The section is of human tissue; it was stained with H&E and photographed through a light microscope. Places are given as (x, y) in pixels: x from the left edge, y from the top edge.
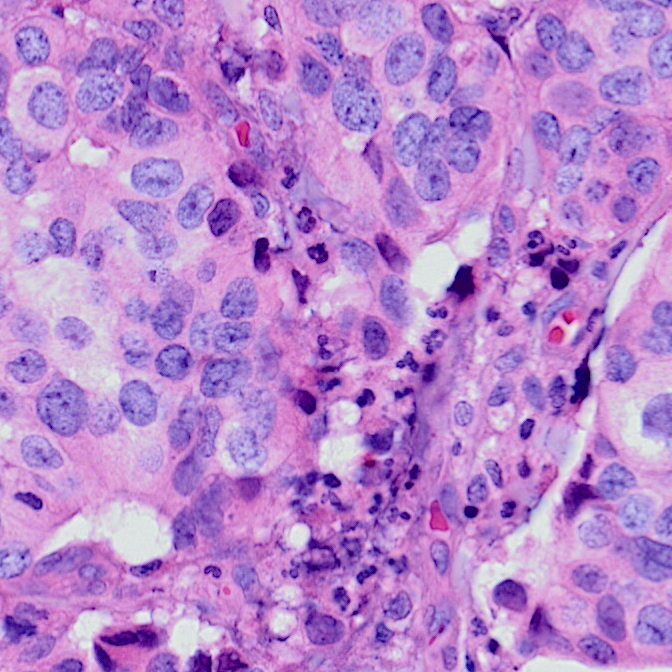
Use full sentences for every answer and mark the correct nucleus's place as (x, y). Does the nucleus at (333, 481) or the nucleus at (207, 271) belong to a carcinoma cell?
The nucleus at (207, 271) is contained in a carcinoma cell.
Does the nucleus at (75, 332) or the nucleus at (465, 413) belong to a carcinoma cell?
The nucleus positioned at (75, 332) is the one that belongs to a carcinoma cell.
